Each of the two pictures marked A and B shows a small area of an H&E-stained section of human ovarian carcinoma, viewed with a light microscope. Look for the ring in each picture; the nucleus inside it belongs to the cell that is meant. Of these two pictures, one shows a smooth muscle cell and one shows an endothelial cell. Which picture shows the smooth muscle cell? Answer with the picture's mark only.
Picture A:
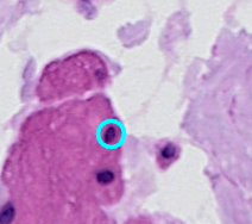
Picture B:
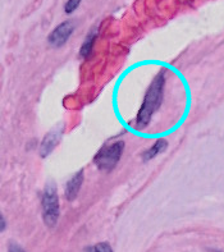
A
